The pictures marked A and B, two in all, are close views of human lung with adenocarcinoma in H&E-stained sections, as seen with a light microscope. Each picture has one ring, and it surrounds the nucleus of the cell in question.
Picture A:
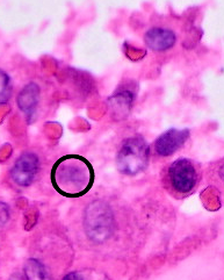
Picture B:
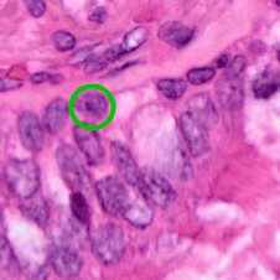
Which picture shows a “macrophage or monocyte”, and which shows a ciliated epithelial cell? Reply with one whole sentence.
The cell in picture A is a “macrophage or monocyte”, and the one in picture B is a ciliated epithelial cell.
